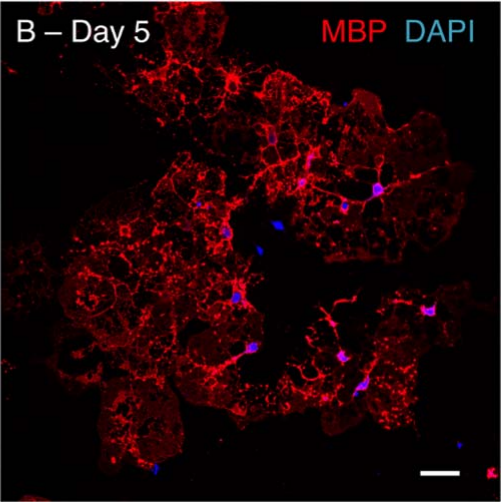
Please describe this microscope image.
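These are mature oligodendrocytes in culture, each with a small cell body and blue nucleus from which a vast, flat membrane sheet stained red spreads outward. The sheets are lace-like and mottled, with a network of brighter red branches and many small holes and dots within them. Sheets of neighbouring cells meet and merge into large continuous red areas with irregular, scalloped edges. A few blue nuclei lie apart without red staining around them.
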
